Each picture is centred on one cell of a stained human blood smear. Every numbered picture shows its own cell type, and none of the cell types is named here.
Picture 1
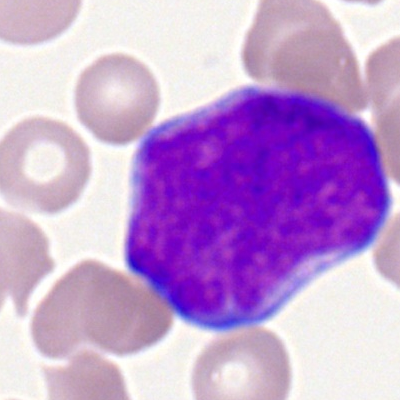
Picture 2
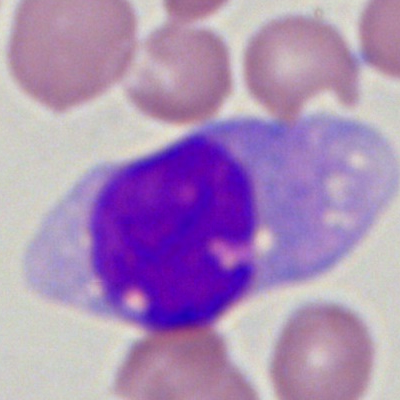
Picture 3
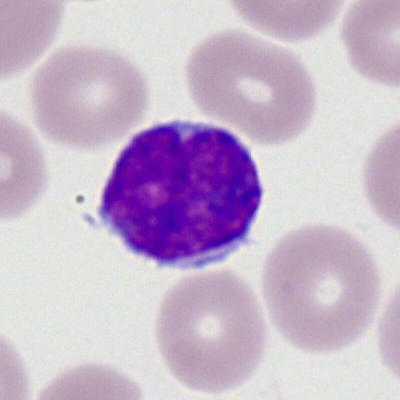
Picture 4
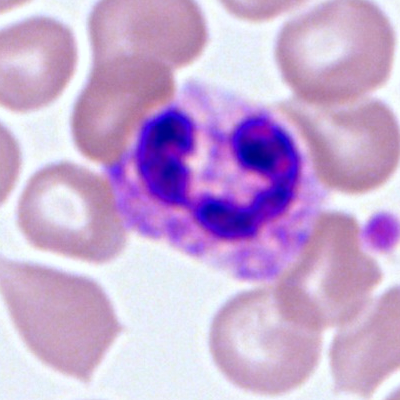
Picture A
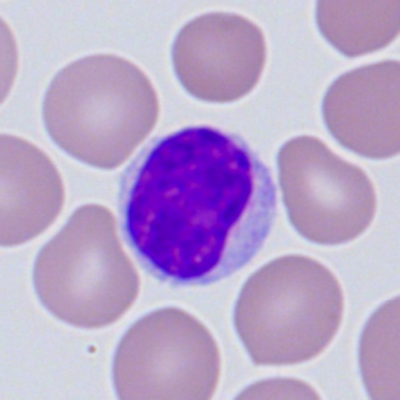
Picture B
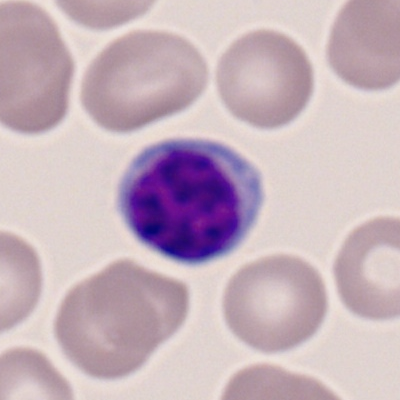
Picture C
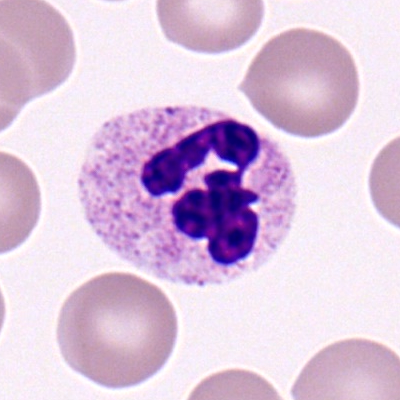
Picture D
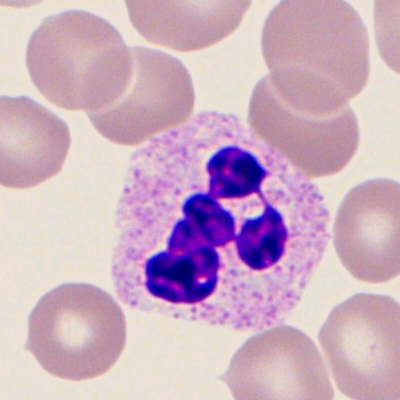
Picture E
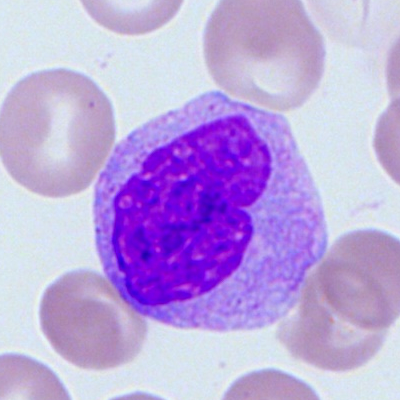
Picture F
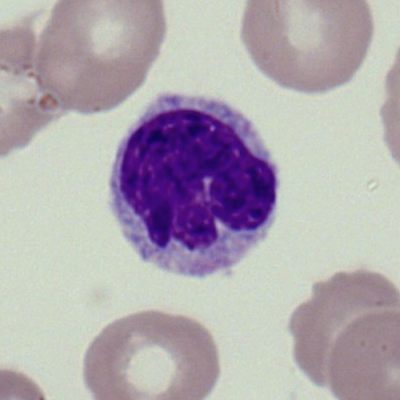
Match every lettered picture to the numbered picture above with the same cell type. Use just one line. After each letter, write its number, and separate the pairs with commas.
A 3, B 3, C 4, D 4, E 2, F 2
